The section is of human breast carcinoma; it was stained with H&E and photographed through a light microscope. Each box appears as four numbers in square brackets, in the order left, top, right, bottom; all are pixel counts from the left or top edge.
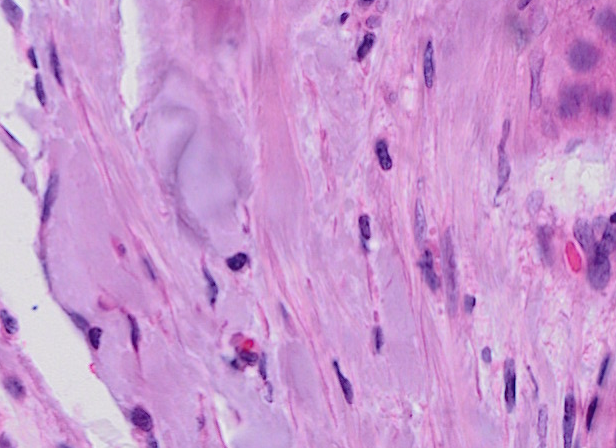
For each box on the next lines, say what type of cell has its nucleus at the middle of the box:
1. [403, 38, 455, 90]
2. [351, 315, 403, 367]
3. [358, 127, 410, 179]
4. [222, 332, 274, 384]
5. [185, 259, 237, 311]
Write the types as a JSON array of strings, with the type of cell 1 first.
["fibroblast", "fibroblast", "mast cell", "endothelial cell", "fibroblast"]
